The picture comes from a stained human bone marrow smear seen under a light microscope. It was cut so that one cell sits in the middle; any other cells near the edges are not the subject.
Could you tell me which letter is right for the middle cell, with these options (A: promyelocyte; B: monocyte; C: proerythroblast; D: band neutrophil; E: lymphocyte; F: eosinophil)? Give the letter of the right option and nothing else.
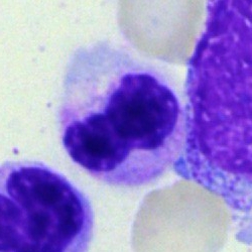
D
